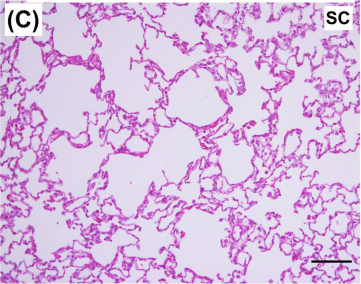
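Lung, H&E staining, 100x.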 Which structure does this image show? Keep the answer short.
Alveolar sacs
